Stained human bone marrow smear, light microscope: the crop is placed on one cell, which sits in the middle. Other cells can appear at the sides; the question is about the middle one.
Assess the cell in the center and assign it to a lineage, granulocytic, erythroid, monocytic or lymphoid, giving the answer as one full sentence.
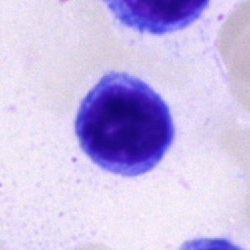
The middle cell is placed in the lymphoid lineage.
